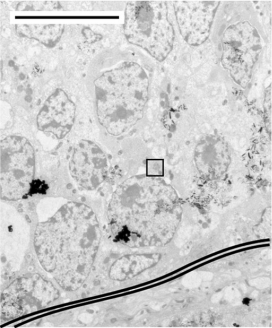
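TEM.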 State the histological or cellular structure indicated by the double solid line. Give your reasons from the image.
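Basal lamina. The double line runs along the lower edge of the cell layer. Above the line lie many closely packed cells with rounded nuclei.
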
